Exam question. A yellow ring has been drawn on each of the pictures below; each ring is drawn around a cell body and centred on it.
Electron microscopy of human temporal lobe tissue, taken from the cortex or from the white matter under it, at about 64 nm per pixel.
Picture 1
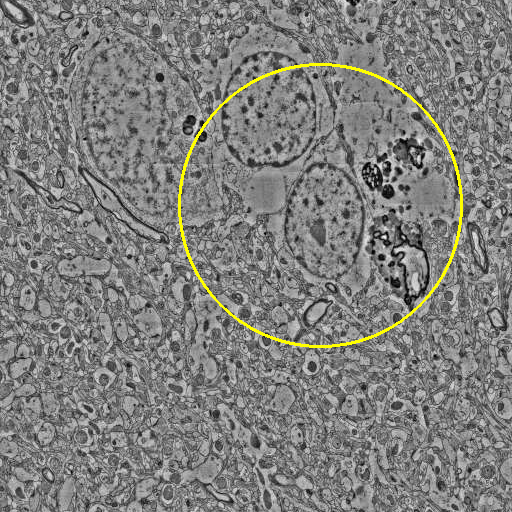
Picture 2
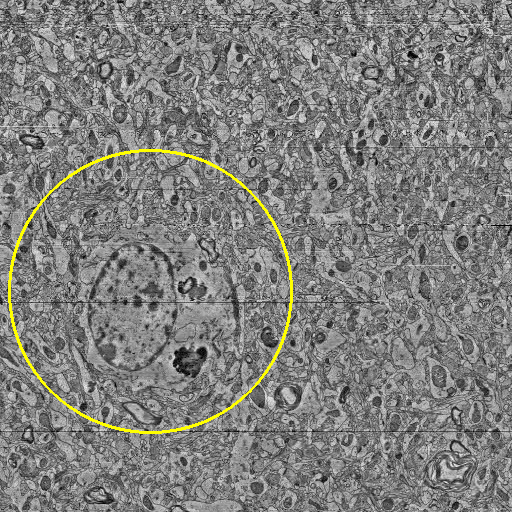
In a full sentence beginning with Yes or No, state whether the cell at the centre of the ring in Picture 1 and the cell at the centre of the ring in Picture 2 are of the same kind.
Yes, the two cells are of the same kind.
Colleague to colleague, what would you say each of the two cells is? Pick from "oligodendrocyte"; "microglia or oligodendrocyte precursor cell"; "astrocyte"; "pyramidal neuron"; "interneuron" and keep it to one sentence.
Both the first and the second picture show an astrocyte in the ring.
